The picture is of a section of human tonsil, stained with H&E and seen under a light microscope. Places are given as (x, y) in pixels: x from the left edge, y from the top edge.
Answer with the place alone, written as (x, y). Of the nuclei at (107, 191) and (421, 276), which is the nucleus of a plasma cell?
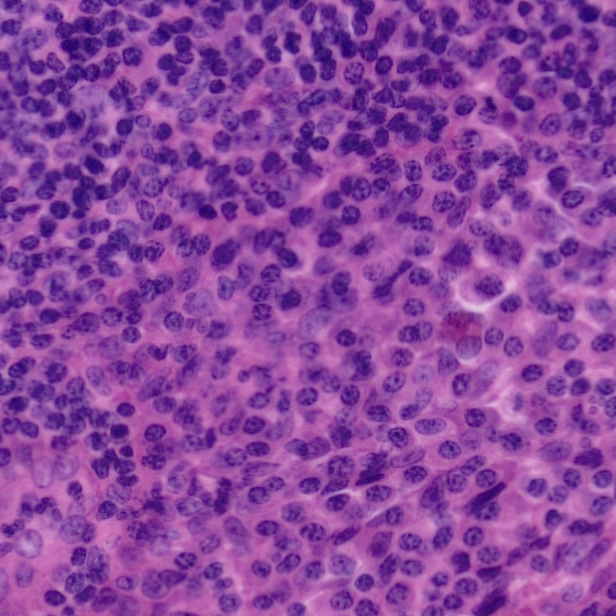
(421, 276)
